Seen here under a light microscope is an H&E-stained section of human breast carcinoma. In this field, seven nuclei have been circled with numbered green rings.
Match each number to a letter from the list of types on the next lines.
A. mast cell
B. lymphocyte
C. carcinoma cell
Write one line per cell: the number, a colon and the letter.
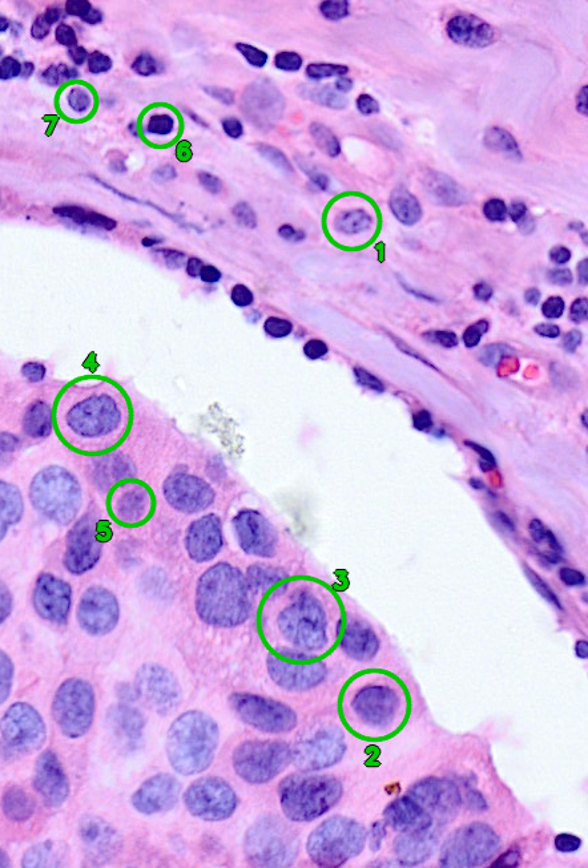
1: A
2: C
3: C
4: C
5: C
6: B
7: B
